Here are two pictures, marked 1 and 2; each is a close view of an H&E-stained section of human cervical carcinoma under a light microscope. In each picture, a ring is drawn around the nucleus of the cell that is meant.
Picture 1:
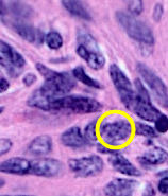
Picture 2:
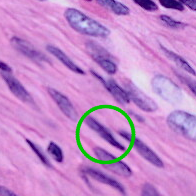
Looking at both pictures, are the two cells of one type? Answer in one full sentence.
No; the cell in picture 1 is a squamous carcinoma cell, while the one in picture 2 is a fibroblast.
